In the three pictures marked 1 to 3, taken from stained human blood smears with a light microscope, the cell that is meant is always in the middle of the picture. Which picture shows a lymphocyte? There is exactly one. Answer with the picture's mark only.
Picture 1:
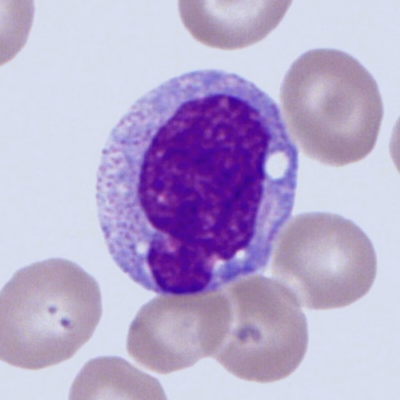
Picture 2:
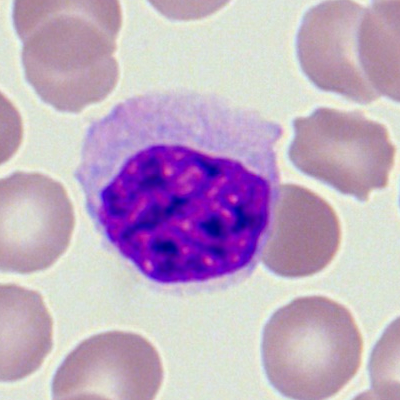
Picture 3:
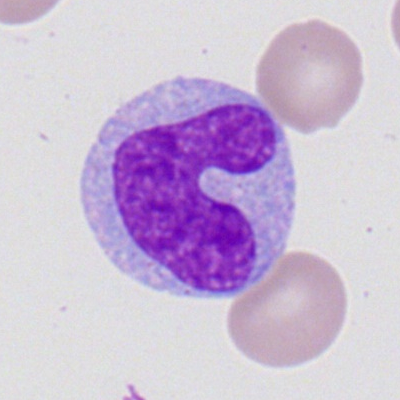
2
